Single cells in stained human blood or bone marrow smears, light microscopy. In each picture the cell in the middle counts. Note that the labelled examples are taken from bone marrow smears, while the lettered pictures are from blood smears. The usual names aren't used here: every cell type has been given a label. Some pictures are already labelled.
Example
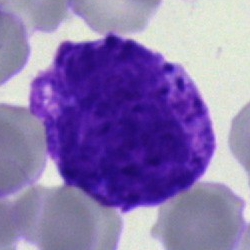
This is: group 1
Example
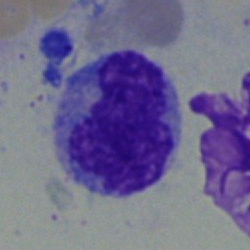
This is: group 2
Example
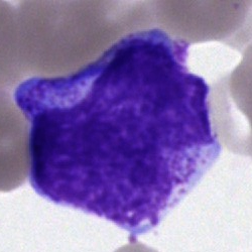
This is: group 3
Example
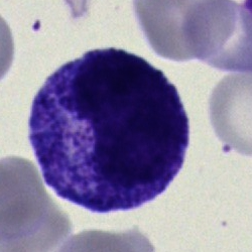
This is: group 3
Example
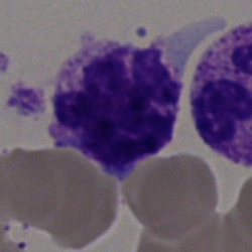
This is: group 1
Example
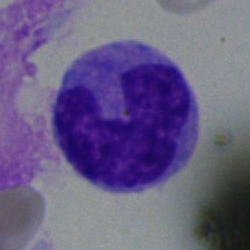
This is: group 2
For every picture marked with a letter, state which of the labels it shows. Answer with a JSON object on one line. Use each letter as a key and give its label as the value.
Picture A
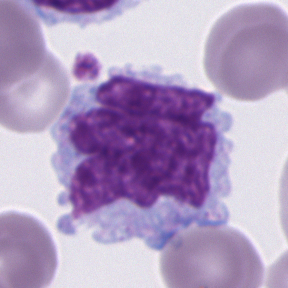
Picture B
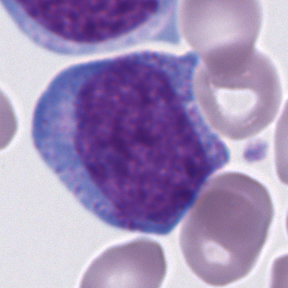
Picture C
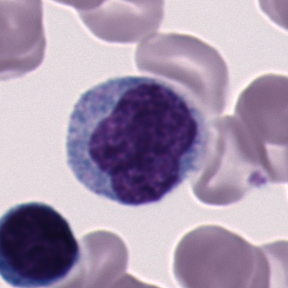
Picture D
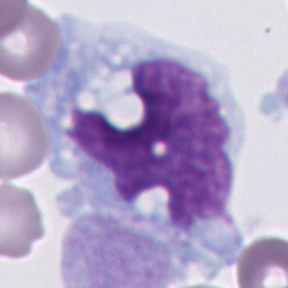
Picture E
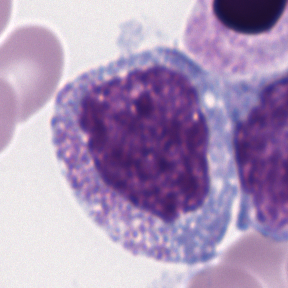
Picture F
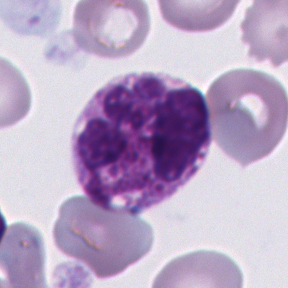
{"A": "group 2", "B": "group 3", "C": "group 2", "D": "group 2", "E": "group 3", "F": "group 1"}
